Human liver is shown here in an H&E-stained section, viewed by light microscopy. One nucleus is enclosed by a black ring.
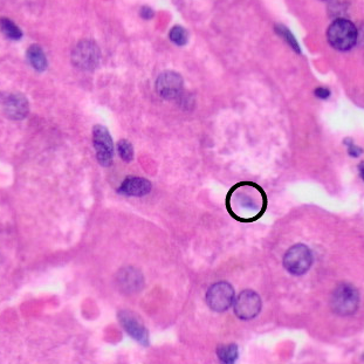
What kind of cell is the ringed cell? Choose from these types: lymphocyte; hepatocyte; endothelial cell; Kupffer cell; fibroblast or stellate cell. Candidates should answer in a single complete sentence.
With respect to cell type, the ringed cell is an endothelial cell.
